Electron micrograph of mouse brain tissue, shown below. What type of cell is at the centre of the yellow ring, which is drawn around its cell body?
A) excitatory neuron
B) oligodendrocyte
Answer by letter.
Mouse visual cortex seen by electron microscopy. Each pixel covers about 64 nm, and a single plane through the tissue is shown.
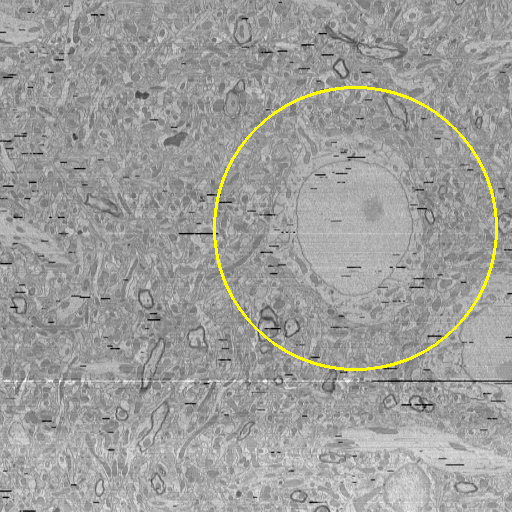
A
